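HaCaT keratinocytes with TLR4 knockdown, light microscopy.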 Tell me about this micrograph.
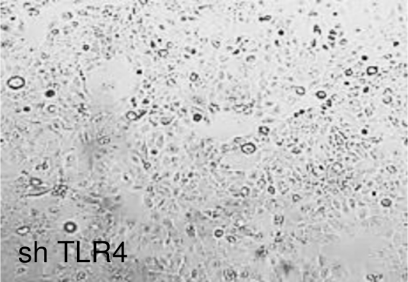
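The cells lie close together in broad patches that cover much of the field, with only small gaps between them. Many cells are flattened and polygonal with pale cytoplasm, while scattered among them are smaller rounded cells with dark, refractile outlines. The crowding is uneven, with some areas forming nearly continuous sheets and others looser clusters.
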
